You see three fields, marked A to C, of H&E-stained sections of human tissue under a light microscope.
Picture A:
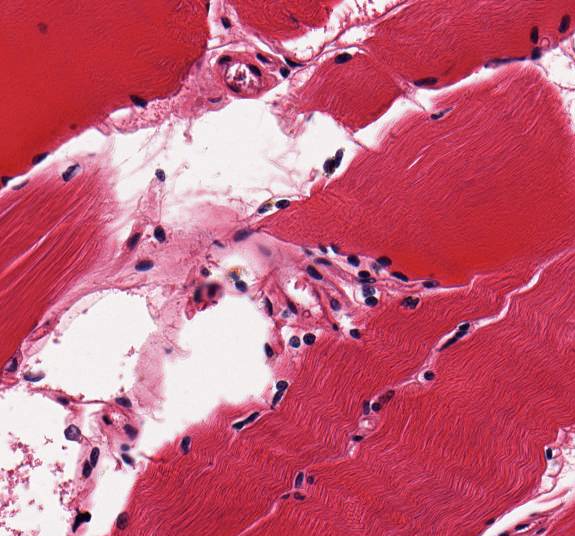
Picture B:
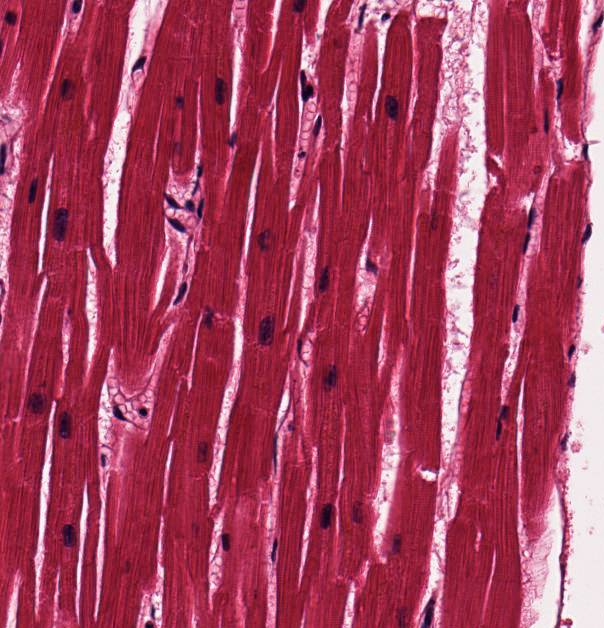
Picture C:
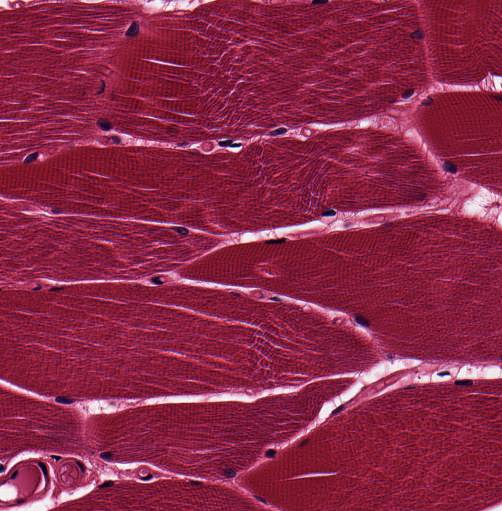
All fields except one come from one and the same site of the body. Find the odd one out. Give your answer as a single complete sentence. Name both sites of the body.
Picture B is the odd one out: it comes from the atrial appendage of the heart, while the others come from skeletal muscle.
